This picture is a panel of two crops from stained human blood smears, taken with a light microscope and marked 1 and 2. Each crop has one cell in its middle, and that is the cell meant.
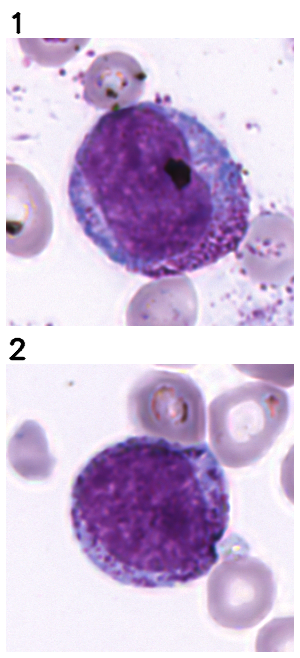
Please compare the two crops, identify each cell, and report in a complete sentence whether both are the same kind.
Yes, the cells placed at the centre of both crops are promyelocytes.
